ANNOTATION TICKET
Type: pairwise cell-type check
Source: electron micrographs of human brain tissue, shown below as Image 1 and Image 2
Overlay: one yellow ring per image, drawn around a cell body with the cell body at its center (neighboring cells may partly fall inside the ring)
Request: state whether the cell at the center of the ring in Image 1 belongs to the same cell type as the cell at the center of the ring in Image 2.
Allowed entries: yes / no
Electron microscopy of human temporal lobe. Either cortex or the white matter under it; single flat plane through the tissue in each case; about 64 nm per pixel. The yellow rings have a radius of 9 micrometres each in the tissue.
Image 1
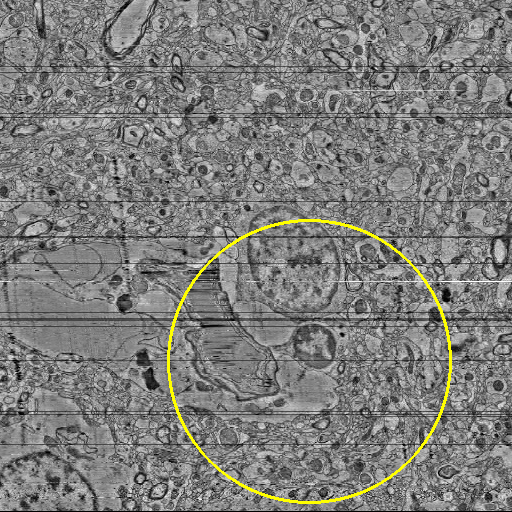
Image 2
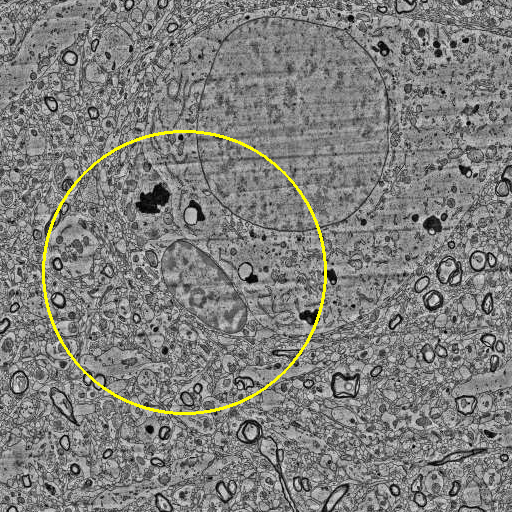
yes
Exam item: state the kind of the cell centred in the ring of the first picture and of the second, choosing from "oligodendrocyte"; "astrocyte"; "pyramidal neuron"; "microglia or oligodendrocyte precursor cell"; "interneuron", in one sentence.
In each picture the ringed cell is a microglial cell or oligodendrocyte precursor cell.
